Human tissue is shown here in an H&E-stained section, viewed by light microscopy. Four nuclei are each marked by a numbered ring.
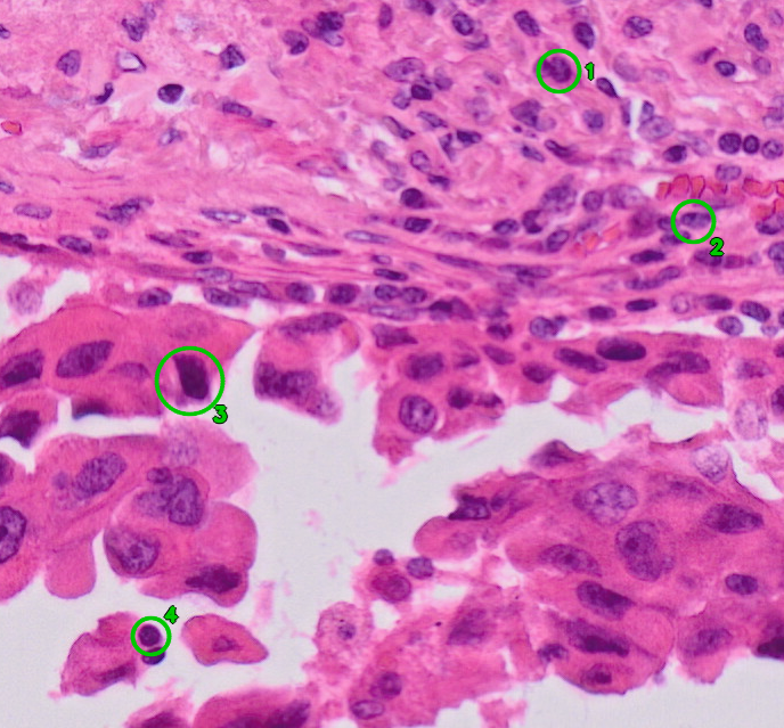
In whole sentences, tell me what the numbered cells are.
Cell 1 is a plasma cell. Cells 2 and 4 are lymphocytes. Cell 3 is a carcinoma cell.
